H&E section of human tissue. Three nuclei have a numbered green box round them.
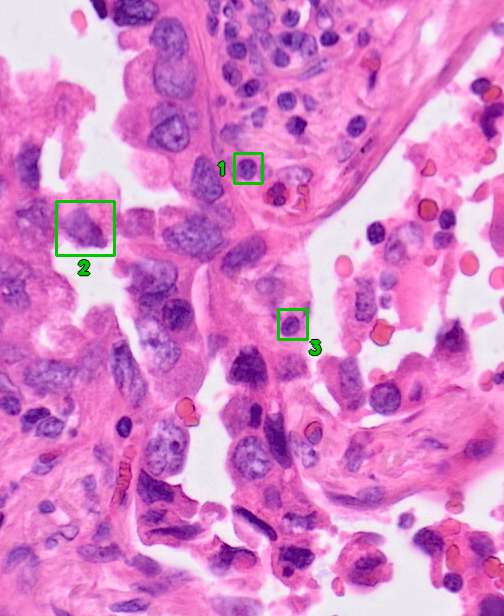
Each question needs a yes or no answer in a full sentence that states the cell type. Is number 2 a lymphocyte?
No, the correct answer for cell 2 is a carcinoma cell, not a lymphocyte.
